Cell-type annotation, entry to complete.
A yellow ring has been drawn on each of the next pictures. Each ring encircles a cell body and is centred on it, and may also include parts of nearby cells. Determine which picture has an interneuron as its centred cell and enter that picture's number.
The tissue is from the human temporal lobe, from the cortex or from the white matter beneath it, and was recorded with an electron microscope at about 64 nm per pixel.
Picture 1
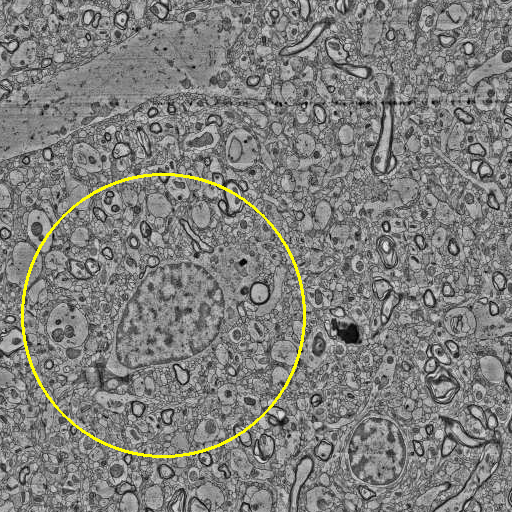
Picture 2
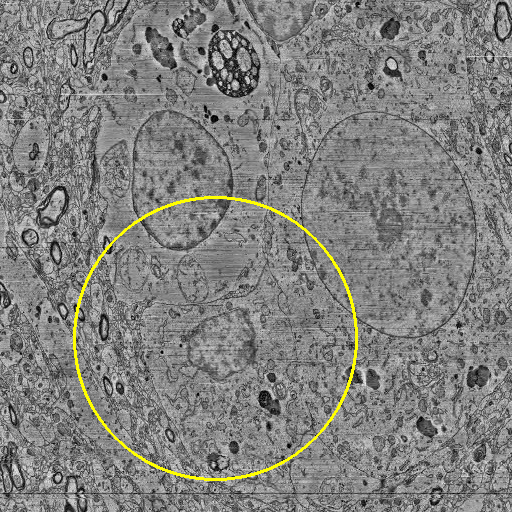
2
